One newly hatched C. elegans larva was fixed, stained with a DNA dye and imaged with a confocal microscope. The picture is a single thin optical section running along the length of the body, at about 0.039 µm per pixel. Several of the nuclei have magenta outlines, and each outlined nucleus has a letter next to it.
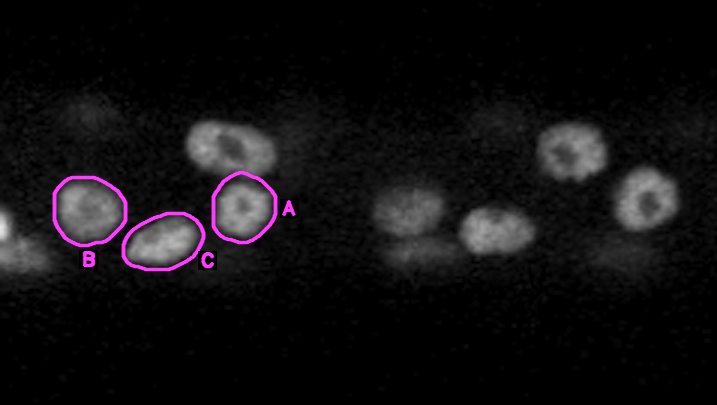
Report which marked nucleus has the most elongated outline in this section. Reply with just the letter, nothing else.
C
